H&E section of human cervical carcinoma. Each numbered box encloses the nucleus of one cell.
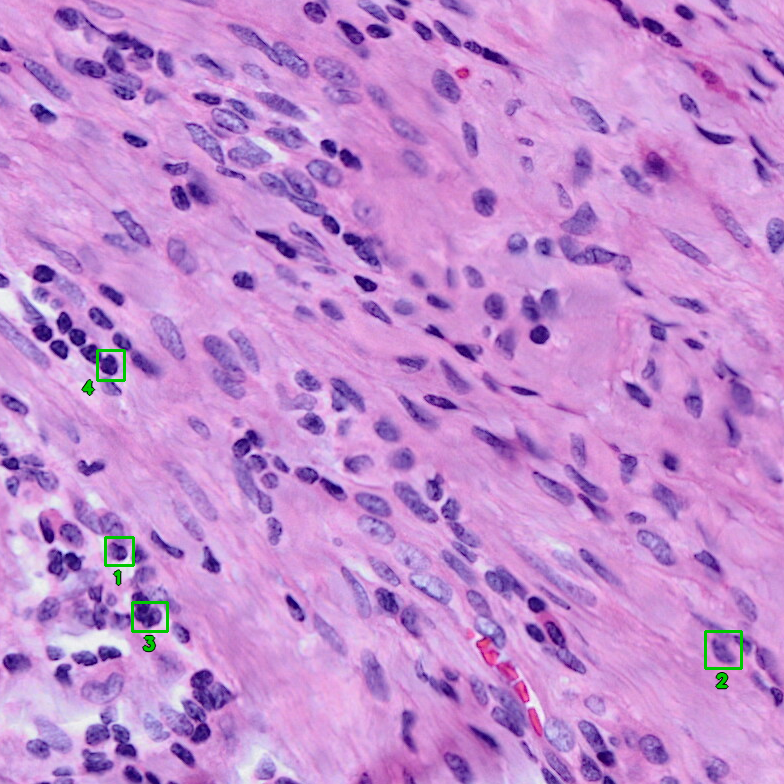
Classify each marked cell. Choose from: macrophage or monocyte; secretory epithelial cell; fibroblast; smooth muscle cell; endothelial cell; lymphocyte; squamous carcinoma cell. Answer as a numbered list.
1. lymphocyte
2. fibroblast
3. lymphocyte
4. lymphocyte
